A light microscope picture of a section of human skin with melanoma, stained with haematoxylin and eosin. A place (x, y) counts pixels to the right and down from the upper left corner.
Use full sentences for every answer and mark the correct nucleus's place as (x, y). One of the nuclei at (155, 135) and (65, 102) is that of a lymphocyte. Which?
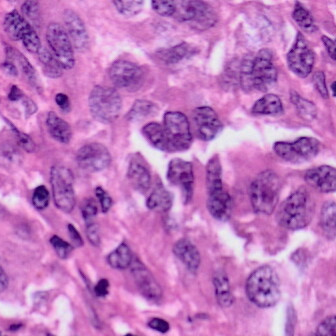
The pair contains one nucleus of a lymphocyte, namely the one at (65, 102).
